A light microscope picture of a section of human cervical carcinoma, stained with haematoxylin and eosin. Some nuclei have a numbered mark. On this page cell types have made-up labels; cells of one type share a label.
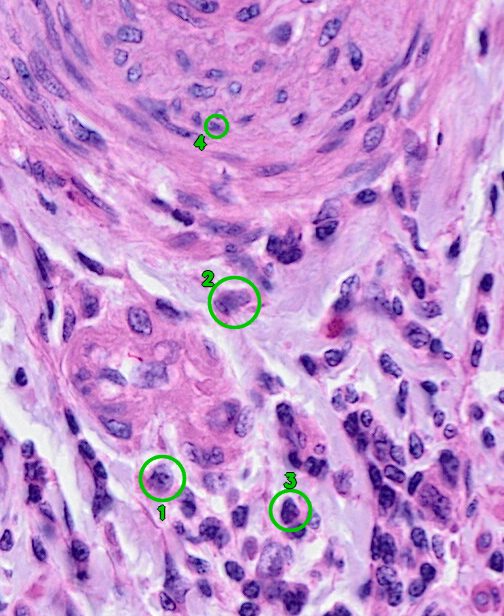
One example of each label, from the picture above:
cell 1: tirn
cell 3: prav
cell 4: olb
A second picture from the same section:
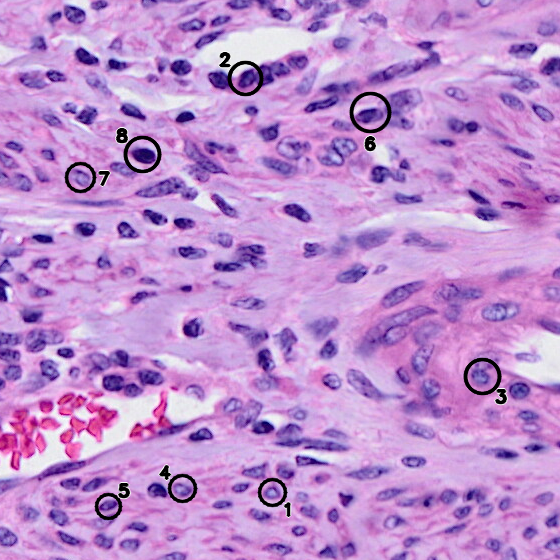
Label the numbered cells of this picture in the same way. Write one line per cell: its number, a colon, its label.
1: olb
2: prav
3: olb
4: olb
5: olb
6: prav
7: olb
8: prav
